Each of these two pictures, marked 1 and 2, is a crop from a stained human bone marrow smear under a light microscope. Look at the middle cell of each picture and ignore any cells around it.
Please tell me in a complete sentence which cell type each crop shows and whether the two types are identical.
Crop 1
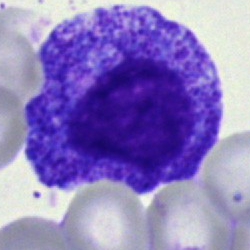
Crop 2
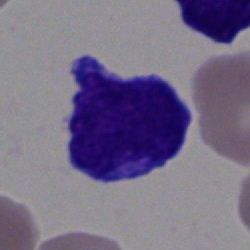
No, crop 1 depicts a promyelocyte, and crop 2 depicts a blast.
